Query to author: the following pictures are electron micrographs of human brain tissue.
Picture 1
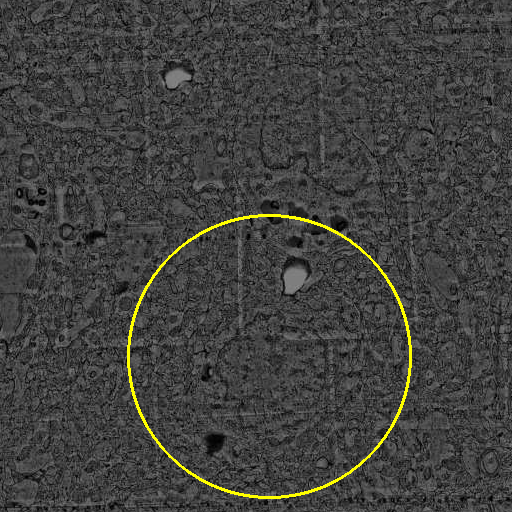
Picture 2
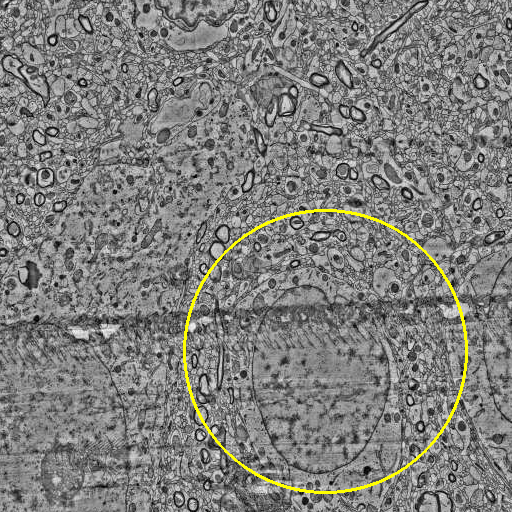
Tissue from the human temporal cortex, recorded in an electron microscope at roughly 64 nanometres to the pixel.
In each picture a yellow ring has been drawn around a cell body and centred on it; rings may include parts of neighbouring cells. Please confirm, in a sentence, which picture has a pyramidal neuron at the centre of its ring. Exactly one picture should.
Picture 2 has it at the centre of its ring.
